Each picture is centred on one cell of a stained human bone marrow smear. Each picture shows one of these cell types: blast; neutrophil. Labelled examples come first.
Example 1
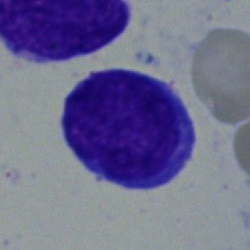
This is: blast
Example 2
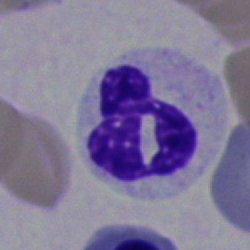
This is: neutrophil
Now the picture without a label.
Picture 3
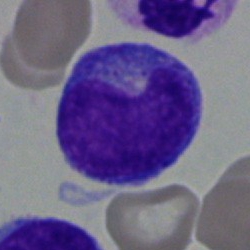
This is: blast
